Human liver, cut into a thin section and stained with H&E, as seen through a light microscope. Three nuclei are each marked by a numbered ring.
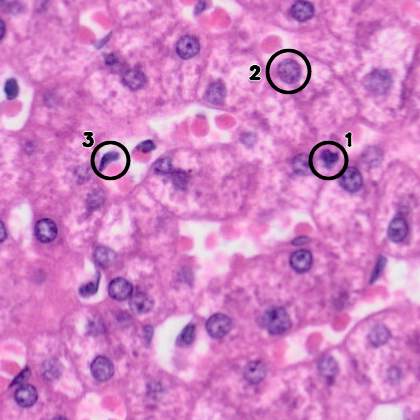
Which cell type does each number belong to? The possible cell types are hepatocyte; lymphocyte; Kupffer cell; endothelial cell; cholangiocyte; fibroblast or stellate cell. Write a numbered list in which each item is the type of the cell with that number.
1. fibroblast or stellate cell
2. hepatocyte
3. endothelial cell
